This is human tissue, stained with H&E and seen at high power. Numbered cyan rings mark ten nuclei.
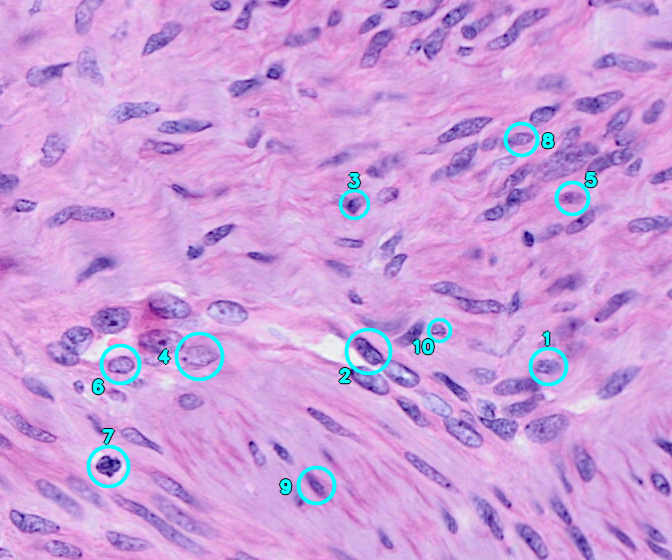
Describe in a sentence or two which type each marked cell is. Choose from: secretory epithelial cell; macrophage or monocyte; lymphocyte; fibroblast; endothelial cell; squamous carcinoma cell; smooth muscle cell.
Cell 1 is a smooth muscle cell, cell 2 is an endothelial cell, cell 3 is a smooth muscle cell, cell 4 is an endothelial cell, cell 5 is a smooth muscle cell, cell 6 is an endothelial cell, cell 7 is a lymphocyte, cell 8 is a smooth muscle cell, cell 9 is a smooth muscle cell and cell 10 is a smooth muscle cell.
